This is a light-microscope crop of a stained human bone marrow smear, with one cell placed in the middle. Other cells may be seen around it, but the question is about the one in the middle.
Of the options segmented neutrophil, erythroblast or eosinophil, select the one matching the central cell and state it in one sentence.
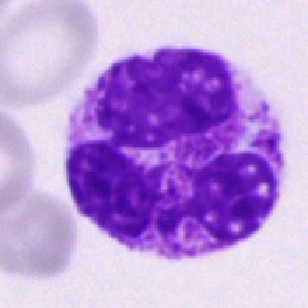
In short, the cell at the center is a segmented neutrophil.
